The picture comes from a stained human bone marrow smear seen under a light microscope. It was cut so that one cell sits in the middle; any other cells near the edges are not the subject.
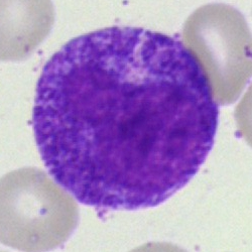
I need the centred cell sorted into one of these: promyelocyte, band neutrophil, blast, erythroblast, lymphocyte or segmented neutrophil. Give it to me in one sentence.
Here the cell in the middle is a promyelocyte.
